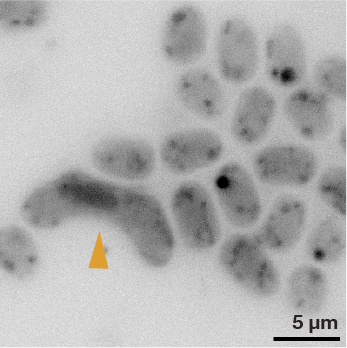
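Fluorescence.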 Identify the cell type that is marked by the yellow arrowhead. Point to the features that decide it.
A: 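The arrowhead points to a cell that is larger and more elongated than the surrounding oval cells. This cell shows a more intense, broader fluorescent signal than its neighbours. That points to this answer: zygote.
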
